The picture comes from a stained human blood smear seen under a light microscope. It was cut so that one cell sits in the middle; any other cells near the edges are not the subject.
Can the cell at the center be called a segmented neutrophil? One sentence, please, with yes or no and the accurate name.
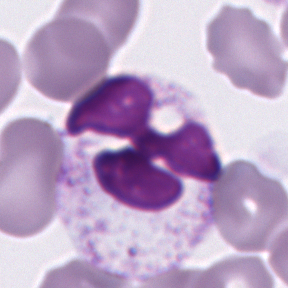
Yes, what sits in the middle of the crop is a segmented neutrophil.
